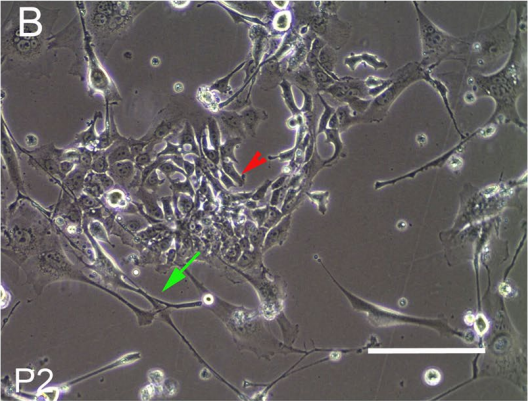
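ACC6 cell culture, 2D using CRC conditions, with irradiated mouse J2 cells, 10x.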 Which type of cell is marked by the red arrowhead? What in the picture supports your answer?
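Epithelial tumor cells. The arrowhead points into a tight cluster of cells lying close together. The surrounding cells are long, thin and widely spread with slender processes.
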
